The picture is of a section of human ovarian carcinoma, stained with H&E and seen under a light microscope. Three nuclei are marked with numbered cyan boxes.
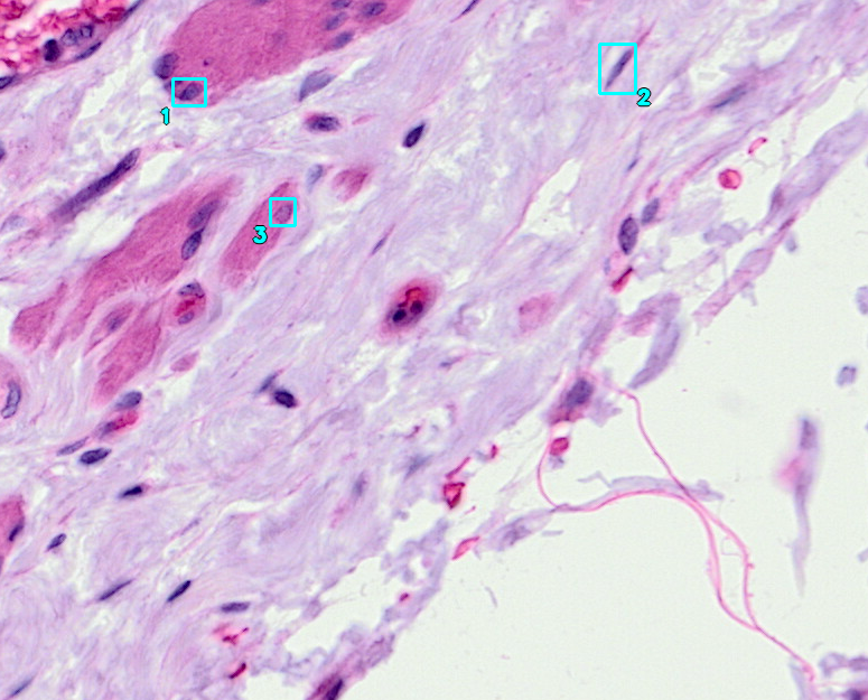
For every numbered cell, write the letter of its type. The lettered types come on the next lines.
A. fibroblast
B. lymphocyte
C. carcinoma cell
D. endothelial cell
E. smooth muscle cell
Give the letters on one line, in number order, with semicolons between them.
E; A; E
